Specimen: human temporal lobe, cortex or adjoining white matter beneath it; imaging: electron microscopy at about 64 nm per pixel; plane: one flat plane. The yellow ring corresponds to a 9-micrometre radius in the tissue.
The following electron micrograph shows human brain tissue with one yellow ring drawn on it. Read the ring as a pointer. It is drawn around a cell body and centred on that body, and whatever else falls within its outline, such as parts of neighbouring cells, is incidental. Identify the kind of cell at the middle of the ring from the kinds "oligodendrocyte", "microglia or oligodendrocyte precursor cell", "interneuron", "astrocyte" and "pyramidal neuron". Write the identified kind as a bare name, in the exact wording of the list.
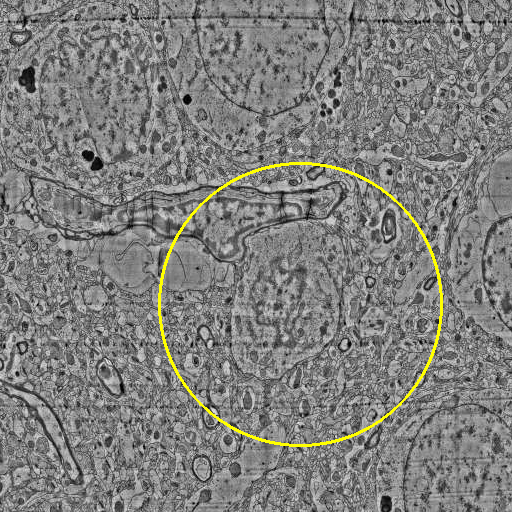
interneuron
